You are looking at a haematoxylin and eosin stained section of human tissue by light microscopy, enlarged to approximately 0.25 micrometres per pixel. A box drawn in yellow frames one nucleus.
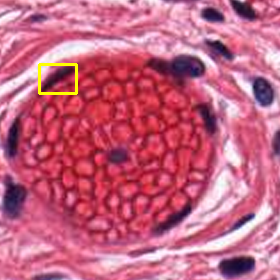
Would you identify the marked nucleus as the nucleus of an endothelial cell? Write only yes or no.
yes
